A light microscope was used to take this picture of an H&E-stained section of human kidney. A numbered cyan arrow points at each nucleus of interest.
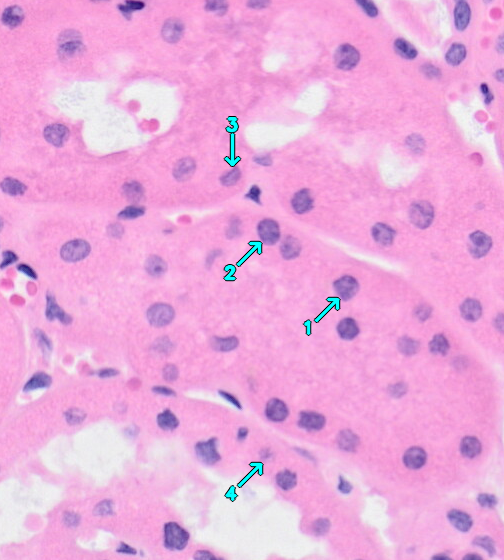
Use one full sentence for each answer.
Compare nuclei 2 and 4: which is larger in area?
At about 2 times the area of nucleus 4, nucleus 2 is the larger of the two.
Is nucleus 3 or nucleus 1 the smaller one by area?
It is nucleus 3; nucleus 1 has about 2 times its area.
